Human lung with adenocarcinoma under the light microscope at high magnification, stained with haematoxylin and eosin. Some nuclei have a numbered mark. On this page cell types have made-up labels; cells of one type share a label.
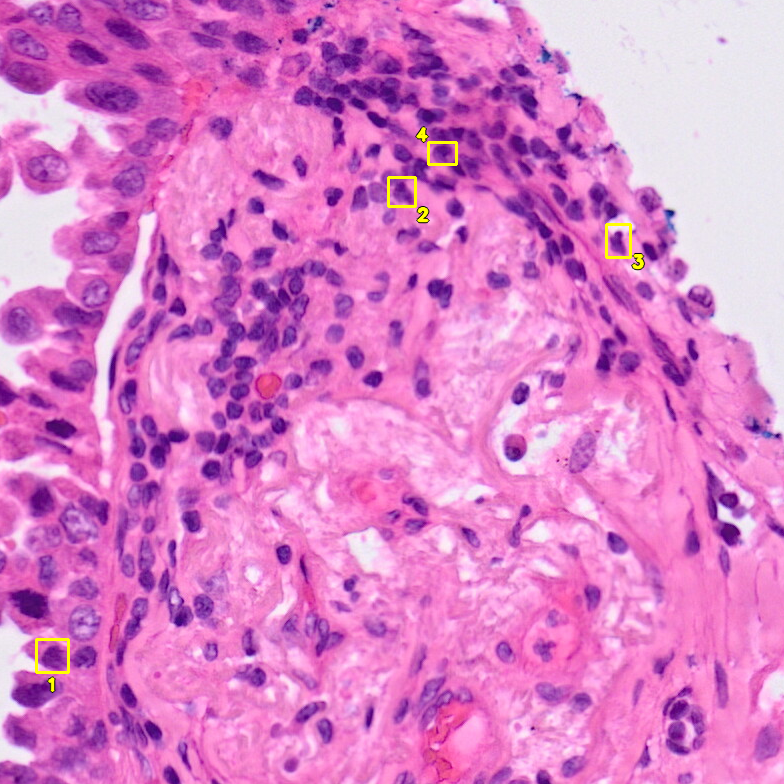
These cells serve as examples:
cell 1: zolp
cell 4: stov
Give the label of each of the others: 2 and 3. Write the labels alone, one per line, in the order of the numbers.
stov
stov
